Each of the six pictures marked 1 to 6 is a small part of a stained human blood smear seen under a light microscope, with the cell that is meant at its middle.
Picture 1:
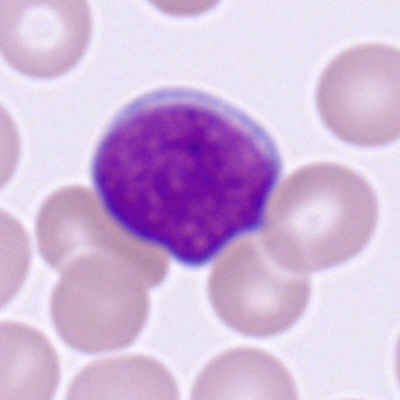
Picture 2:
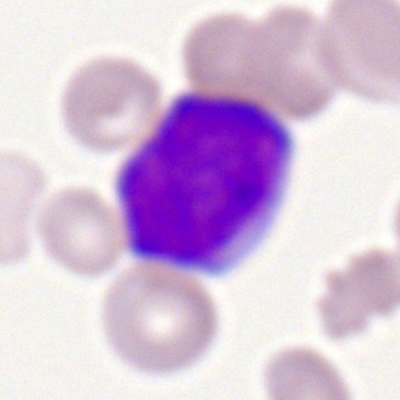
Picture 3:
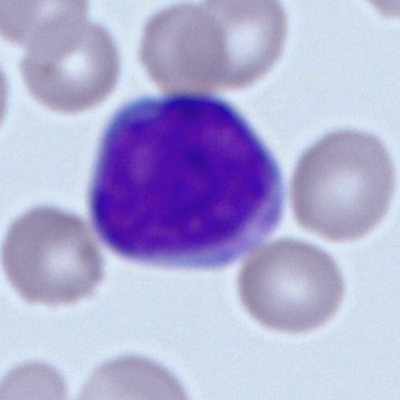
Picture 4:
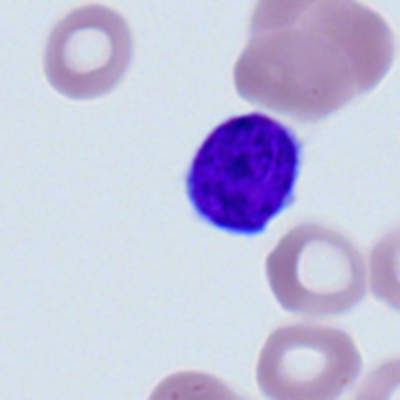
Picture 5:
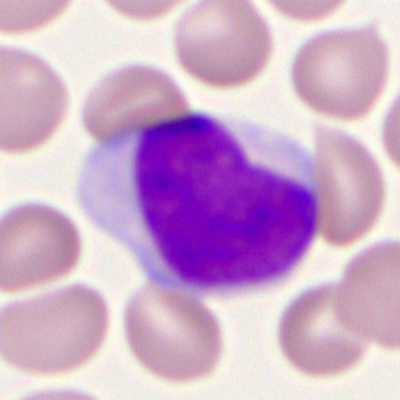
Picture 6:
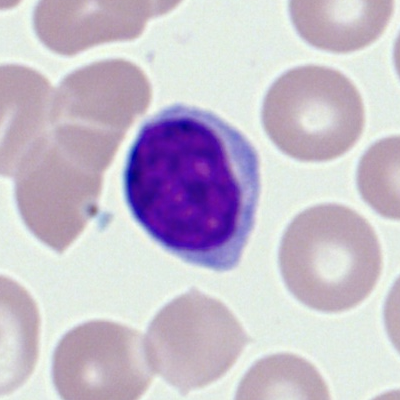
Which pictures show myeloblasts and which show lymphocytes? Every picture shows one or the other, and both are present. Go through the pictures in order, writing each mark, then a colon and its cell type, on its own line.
1: myeloblast
2: myeloblast
3: myeloblast
4: lymphocyte
5: myeloblast
6: lymphocyte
